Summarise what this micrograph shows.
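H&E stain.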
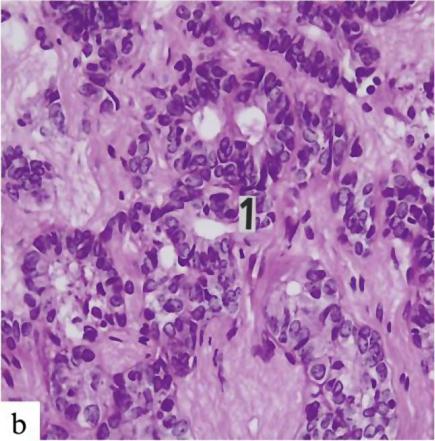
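This high-power view shows the epithelial component, with cells forming tubular and glomeruloid structures. The epithelial cells are cuboidal to columnar with oval, dark, somewhat crowded nuclei, arranged around small clear lumina. The epithelial groups are separated by strands of pink fibrous stroma containing scattered elongated nuclei.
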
